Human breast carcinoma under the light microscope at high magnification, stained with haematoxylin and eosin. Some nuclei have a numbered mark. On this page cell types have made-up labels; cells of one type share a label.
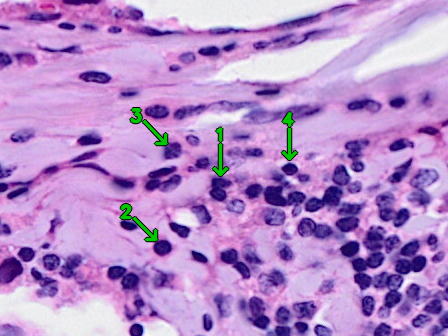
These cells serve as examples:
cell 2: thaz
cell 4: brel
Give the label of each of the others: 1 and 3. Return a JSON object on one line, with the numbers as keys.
{"1": "brel", "3": "brel"}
